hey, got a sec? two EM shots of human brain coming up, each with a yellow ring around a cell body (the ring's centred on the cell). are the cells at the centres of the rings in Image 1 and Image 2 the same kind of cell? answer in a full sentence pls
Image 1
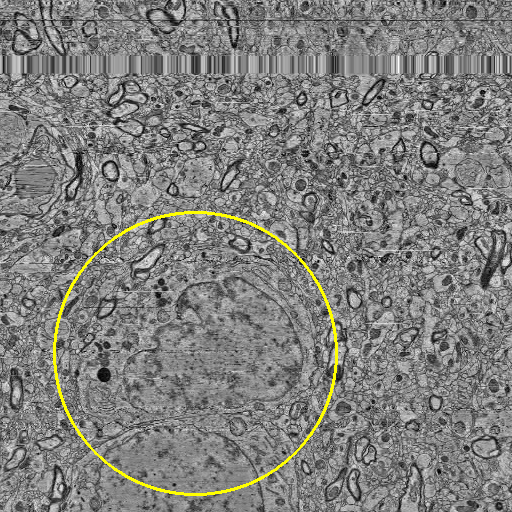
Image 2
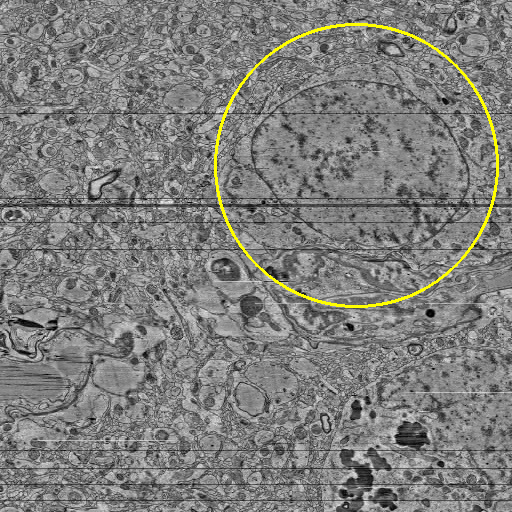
No, they are two kinds of cell.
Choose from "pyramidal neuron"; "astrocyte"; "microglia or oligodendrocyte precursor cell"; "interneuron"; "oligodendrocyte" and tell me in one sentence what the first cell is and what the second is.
What the first ring is centred on is an interneuron; what the second ring is centred on is a pyramidal neuron.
